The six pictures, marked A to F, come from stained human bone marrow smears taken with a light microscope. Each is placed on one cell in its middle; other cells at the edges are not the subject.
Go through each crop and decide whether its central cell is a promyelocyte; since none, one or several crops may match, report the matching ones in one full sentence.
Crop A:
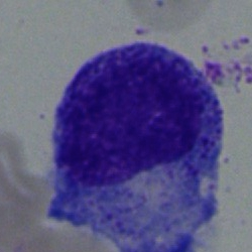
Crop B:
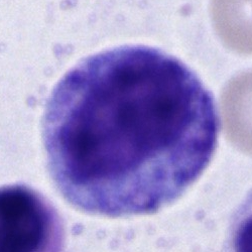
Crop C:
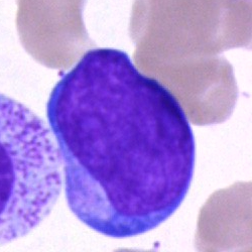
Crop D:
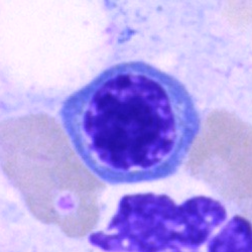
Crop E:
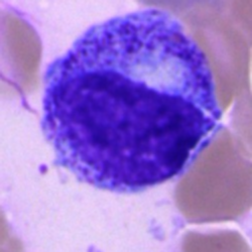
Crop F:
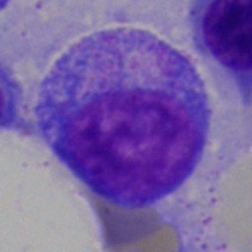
Crops A, B, E and F show promyelocytes, going by the cell in the middle of each.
